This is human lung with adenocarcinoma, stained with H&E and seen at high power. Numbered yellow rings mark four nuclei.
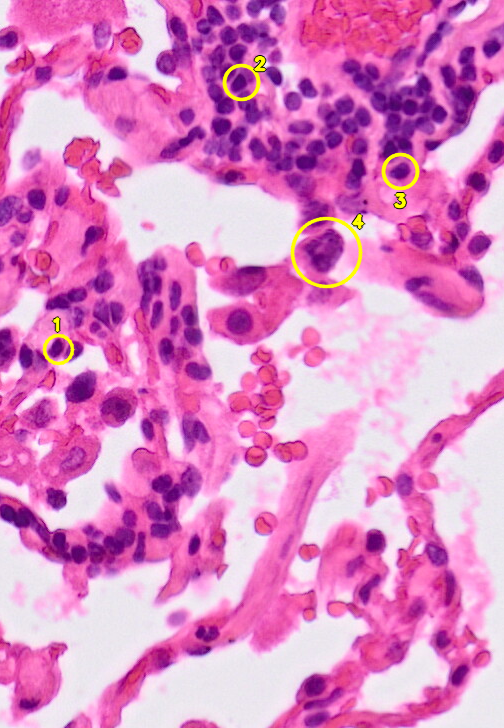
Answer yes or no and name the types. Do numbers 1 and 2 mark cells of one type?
Yes, going by number, cells 1 and 2 are both lymphocytes.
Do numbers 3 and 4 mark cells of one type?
No, the correct reading has cell 3 as a lymphocyte and cell 4 as a carcinoma cell.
